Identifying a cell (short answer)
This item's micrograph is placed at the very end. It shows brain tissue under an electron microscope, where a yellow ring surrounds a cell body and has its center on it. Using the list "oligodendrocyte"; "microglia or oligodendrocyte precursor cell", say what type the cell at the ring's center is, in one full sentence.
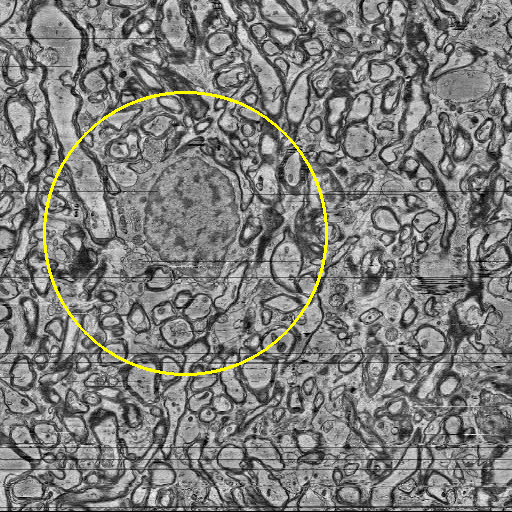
This picture shows an oligodendrocyte at the center of the yellow ring drawn on it.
